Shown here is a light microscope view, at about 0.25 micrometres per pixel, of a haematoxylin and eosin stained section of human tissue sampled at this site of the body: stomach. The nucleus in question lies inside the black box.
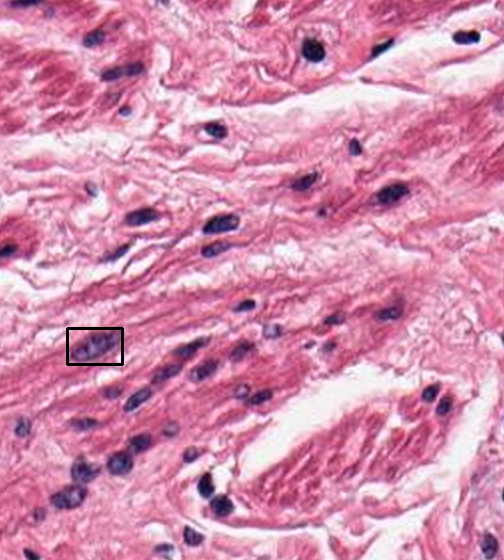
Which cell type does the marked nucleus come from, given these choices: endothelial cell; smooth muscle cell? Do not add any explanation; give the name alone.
smooth muscle cell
